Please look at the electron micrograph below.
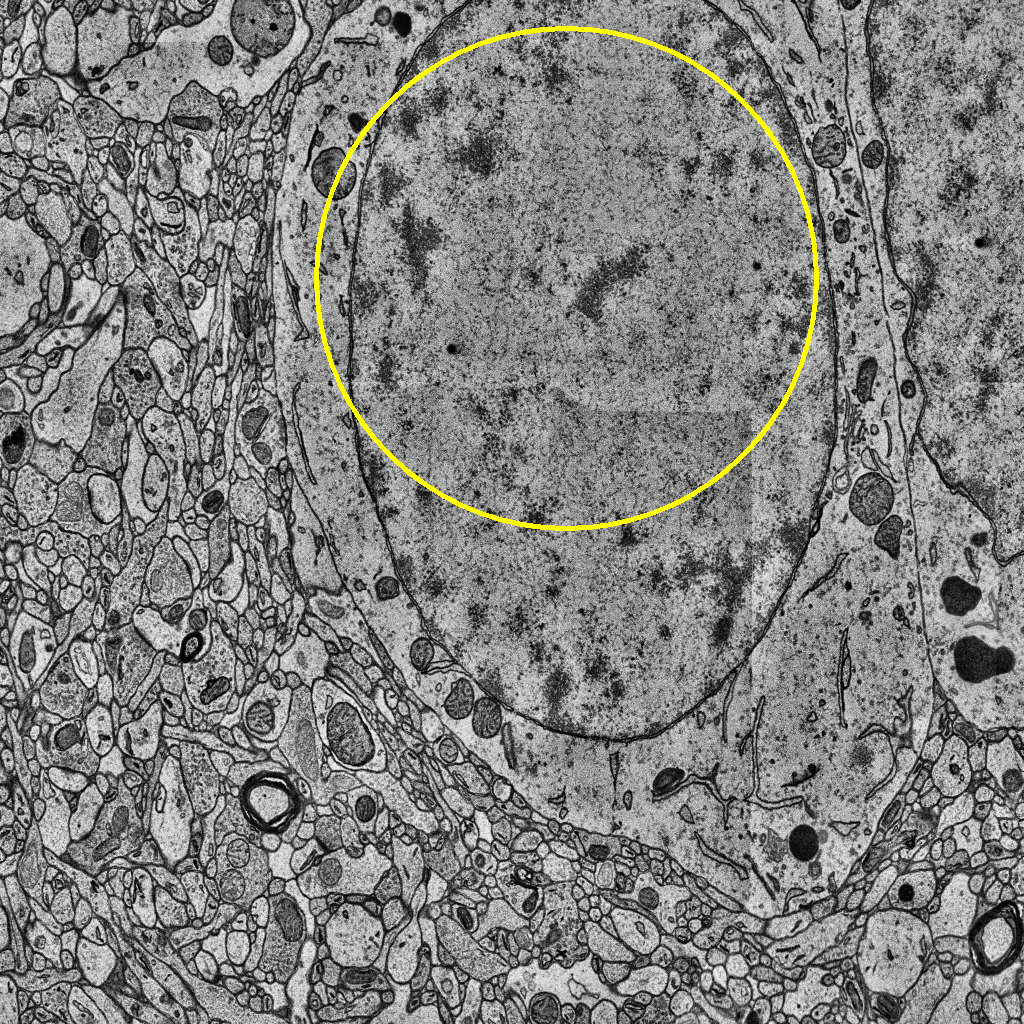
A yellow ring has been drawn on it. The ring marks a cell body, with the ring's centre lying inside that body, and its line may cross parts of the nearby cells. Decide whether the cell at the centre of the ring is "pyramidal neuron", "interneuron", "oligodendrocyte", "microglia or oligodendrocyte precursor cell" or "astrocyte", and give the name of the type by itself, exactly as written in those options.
pyramidal neuron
